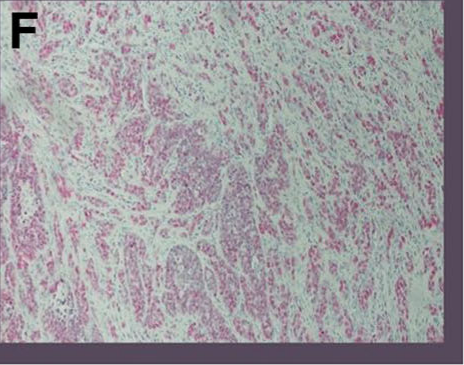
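The field shows many small nests, cords and strands of cells running through a pale fibrous stroma. The cells within these nests are stained red, forming a dense network of red clusters across the section. Between the red clusters the stroma appears pale, with scattered blue-stained nuclei. Some larger nests in the centre show a paler, more purplish interior.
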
